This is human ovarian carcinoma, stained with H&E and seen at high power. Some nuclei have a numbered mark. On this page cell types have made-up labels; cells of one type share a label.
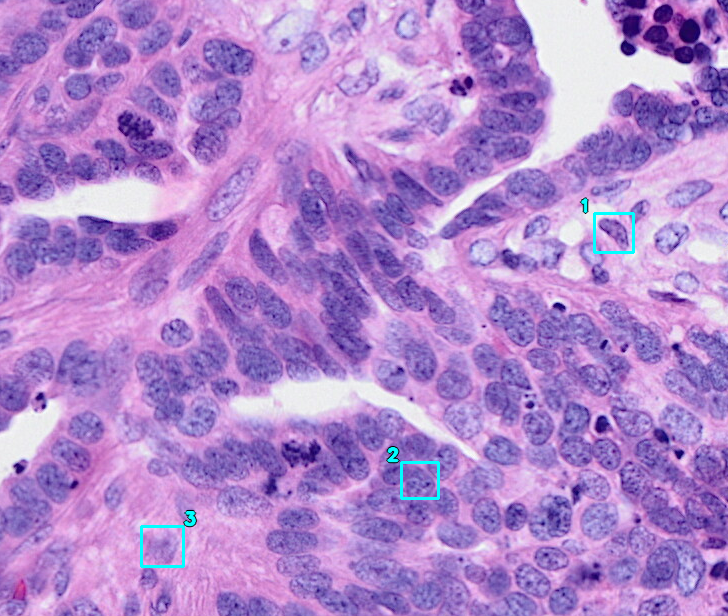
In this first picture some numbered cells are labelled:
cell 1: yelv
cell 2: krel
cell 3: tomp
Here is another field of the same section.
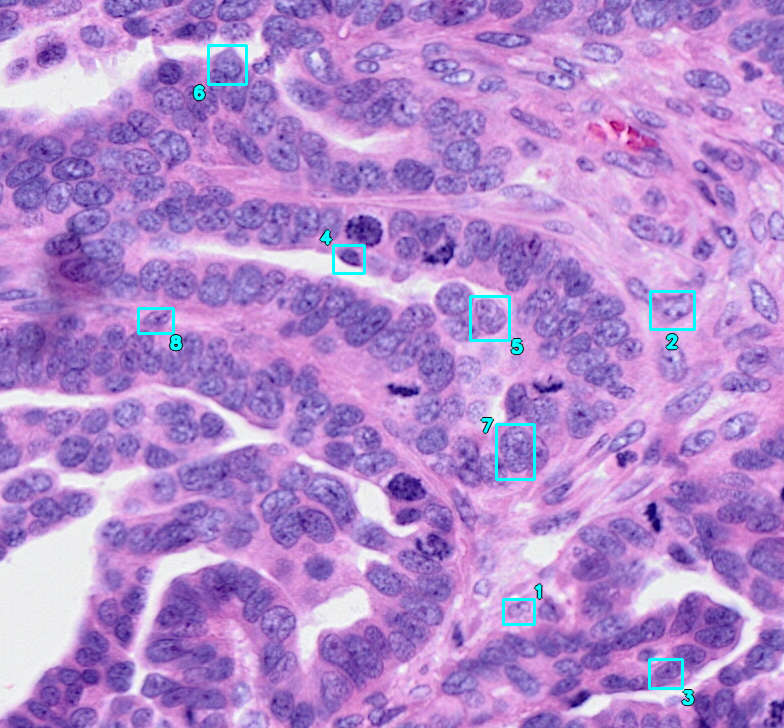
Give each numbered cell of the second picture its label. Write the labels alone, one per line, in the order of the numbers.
tomp
tomp
krel
krel
krel
krel
krel
yelv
